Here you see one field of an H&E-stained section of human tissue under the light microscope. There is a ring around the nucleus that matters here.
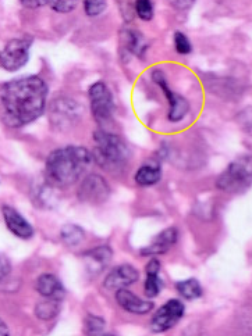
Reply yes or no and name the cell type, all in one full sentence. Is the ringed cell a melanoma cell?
No, write a macrophage or monocyte for the ringed cell rather than a melanoma cell.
